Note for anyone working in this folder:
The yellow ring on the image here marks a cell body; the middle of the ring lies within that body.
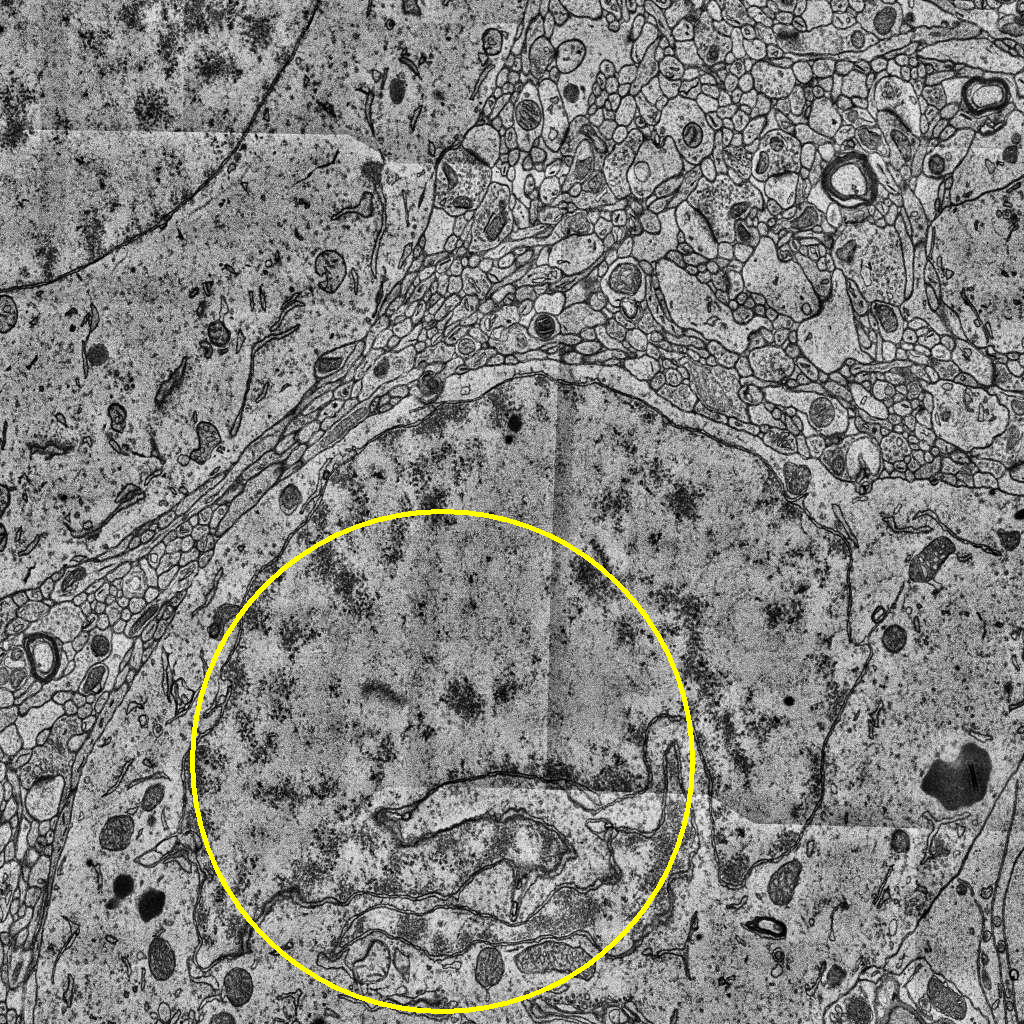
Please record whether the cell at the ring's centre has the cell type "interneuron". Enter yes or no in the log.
yes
